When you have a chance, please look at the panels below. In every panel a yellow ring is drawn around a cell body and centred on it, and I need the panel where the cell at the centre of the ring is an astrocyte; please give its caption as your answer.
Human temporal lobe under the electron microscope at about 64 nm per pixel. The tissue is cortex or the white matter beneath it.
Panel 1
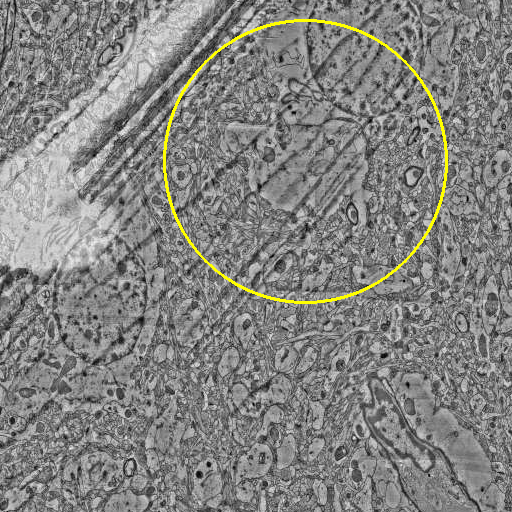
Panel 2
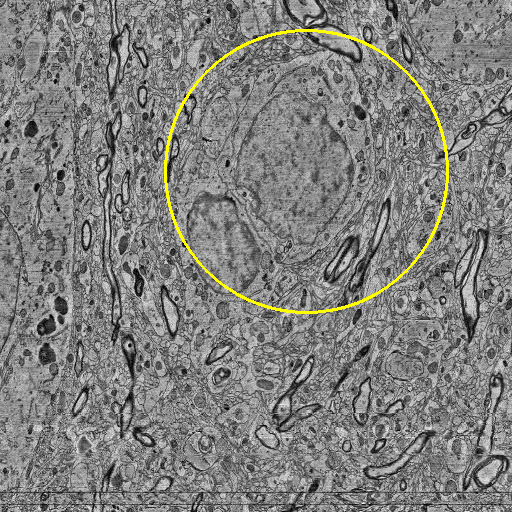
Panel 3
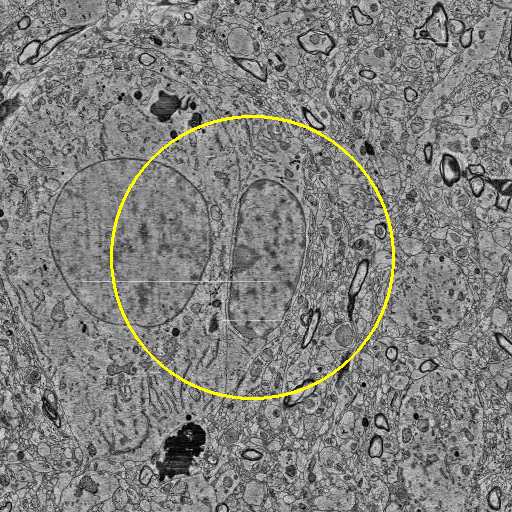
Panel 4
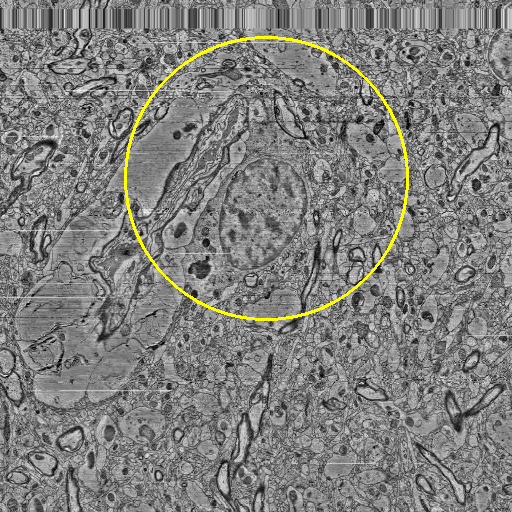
Panel 1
